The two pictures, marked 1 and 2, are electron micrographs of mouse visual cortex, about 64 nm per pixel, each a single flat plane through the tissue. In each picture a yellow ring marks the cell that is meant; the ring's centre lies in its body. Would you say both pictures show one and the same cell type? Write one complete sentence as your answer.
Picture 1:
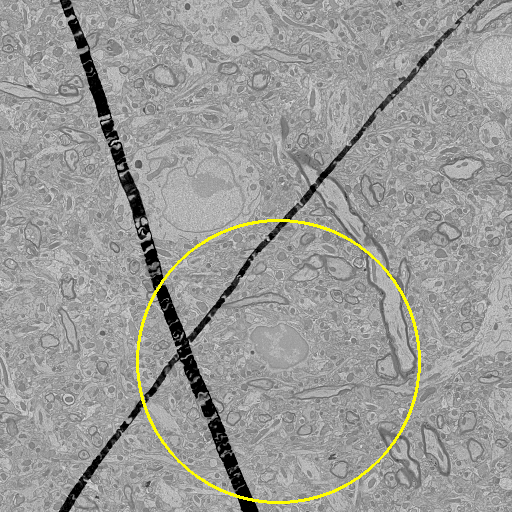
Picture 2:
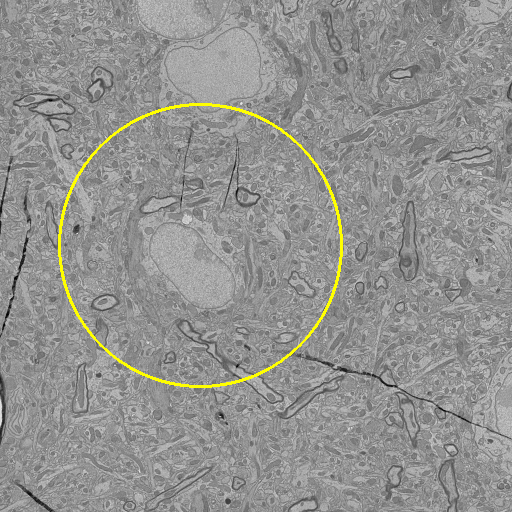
No, they differ: the cell is a microglial cell in picture 1 and an astrocyte in picture 2.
